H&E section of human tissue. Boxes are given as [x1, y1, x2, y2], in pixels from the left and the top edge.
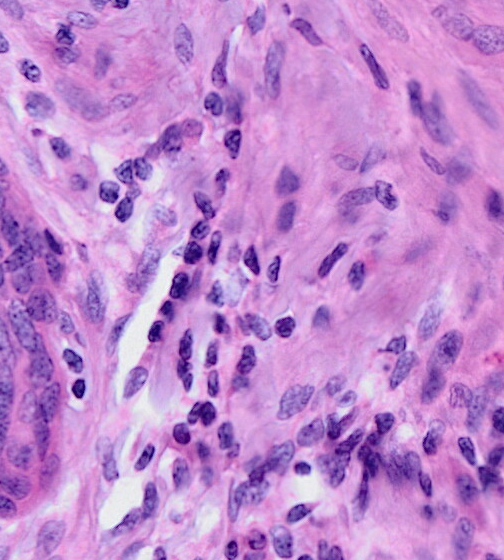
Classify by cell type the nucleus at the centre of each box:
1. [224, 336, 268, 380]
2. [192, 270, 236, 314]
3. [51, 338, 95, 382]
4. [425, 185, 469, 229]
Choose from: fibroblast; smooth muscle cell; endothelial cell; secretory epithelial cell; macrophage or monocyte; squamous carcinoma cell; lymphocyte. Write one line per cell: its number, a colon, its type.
1: lymphocyte
2: lymphocyte
3: lymphocyte
4: fibroblast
